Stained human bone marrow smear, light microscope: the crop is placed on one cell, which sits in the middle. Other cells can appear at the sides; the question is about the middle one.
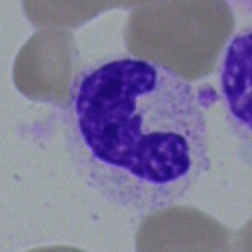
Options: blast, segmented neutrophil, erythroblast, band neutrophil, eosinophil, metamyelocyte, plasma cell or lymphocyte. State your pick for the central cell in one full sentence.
The central cell, amid any neighbouring cells, is a band neutrophil.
